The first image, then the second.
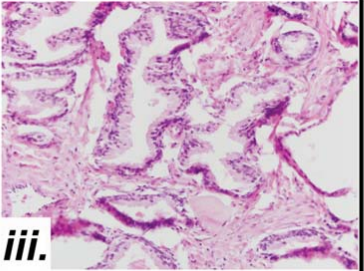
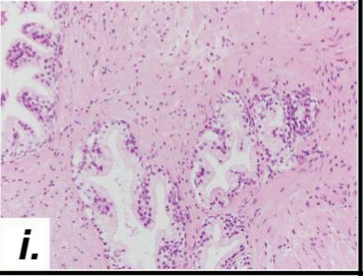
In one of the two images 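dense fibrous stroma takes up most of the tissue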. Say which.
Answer: the second image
